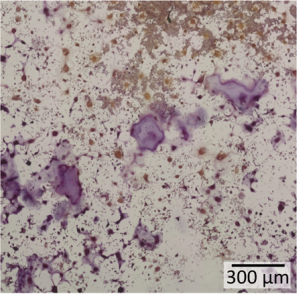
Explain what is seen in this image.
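Large, spread purple cells with irregular edges are scattered among many much smaller dark cells. Brownish granular material gathers in some areas, mostly toward the top of the field.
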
